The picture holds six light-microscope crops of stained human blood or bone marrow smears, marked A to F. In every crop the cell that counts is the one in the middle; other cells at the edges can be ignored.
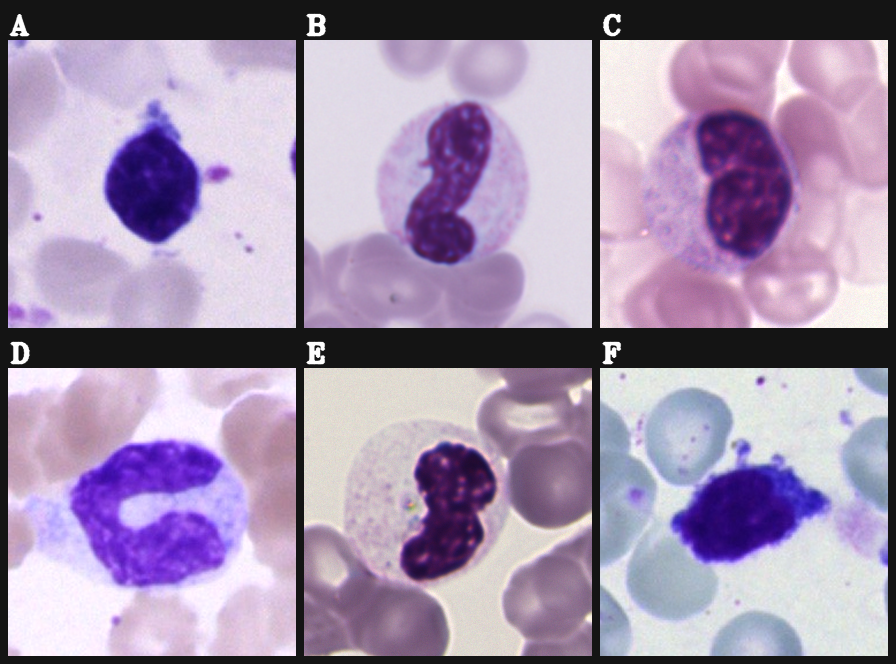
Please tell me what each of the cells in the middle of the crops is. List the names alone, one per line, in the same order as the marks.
lymphocyte
band neutrophil
band neutrophil
band neutrophil
band neutrophil
lymphocyte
